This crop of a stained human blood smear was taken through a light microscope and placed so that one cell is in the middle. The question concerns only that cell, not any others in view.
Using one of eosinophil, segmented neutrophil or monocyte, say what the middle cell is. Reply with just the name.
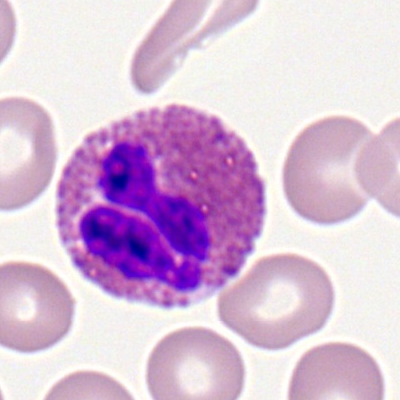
eosinophil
